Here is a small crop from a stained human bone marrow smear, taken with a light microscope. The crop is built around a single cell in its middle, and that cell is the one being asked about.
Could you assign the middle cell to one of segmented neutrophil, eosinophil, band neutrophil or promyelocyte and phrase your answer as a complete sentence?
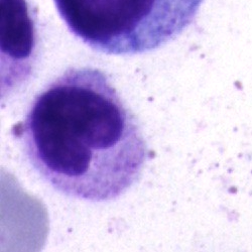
Standing at the centre of this crop is a band neutrophil.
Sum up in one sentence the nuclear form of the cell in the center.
The nuclear material is gathered into one compact round, oval or kidney-shaped mass.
